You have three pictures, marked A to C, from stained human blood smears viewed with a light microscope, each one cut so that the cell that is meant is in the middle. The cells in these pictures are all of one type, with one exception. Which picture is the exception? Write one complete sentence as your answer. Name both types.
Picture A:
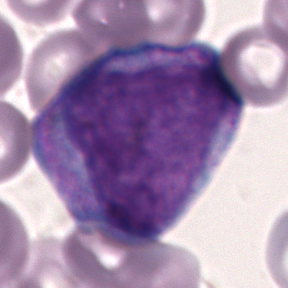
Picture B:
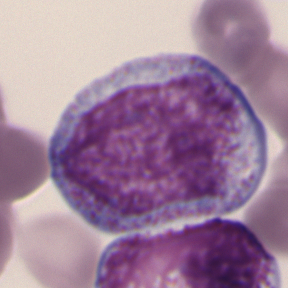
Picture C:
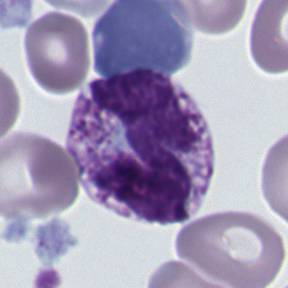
Picture C is the odd one out: it shows a basophil, while the others show promyelocytes.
